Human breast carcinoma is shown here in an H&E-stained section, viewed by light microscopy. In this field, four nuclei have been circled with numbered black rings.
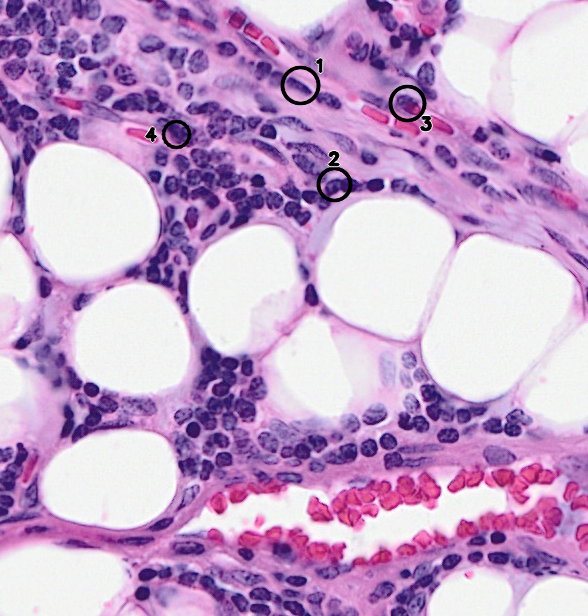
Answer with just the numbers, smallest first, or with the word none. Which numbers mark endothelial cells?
3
